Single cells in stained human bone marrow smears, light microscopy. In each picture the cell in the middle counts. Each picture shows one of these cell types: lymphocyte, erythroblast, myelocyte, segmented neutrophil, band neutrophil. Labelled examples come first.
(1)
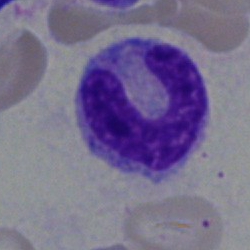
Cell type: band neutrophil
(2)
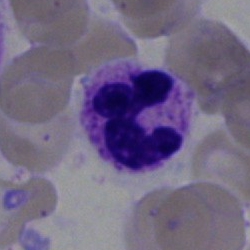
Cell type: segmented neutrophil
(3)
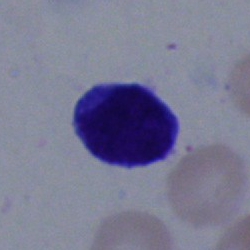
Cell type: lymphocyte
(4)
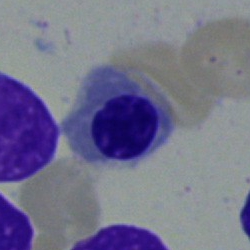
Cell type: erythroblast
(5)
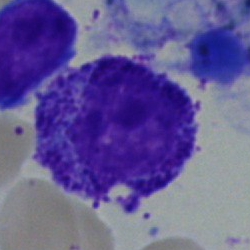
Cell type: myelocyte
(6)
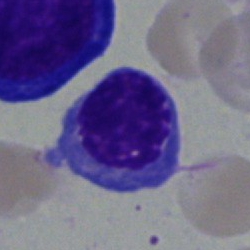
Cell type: erythroblast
